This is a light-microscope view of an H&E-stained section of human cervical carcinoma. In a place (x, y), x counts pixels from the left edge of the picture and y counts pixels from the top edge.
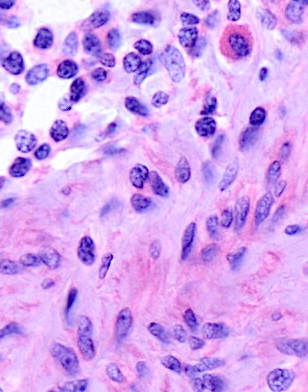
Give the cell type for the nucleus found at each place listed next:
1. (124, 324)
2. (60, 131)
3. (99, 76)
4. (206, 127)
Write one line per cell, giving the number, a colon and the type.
1: smooth muscle cell
2: lymphocyte
3: lymphocyte
4: lymphocyte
